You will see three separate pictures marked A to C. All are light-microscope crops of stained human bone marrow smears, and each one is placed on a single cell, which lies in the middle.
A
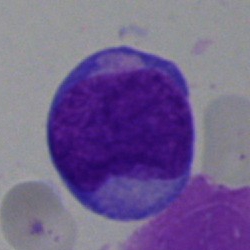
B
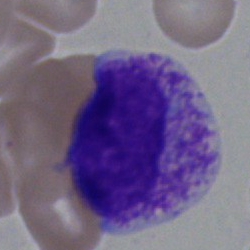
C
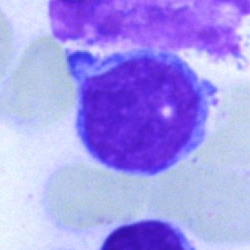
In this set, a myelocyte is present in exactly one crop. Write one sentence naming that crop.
Of the crops shown, crop B depicts a myelocyte.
